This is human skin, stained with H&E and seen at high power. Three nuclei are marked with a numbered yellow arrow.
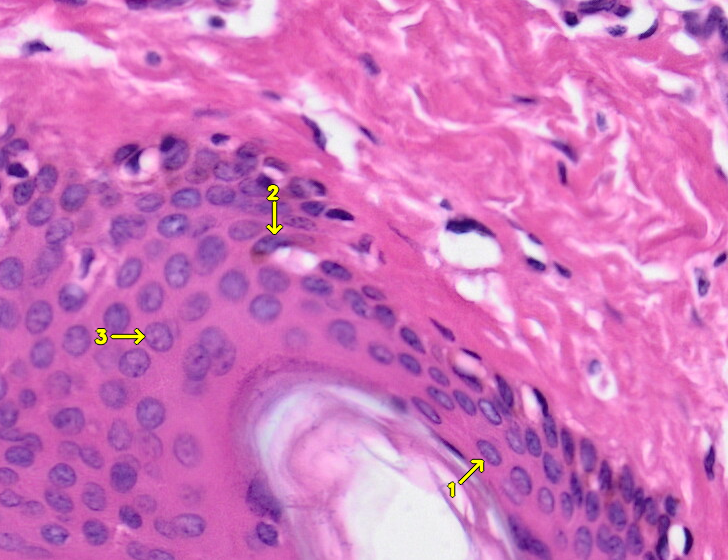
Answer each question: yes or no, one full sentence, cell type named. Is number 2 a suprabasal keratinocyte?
No, cell 2 is not a suprabasal keratinocyte: it is a basal keratinocyte.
